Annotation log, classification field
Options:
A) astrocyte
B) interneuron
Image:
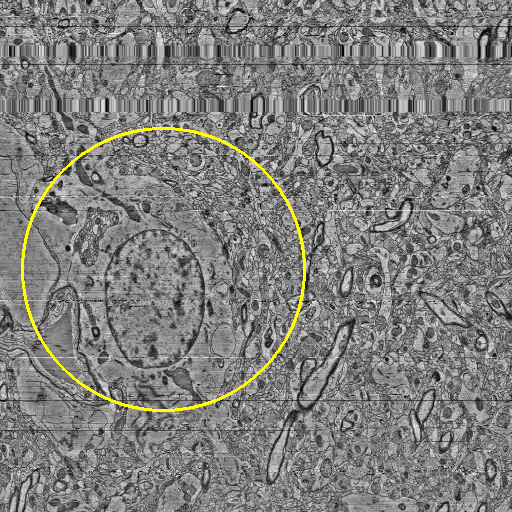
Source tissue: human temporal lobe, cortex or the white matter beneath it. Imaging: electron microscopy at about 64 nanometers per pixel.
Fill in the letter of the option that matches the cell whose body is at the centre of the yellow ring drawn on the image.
A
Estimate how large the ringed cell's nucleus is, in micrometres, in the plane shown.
In this plane, about 9 micrometres in length and 6 in width.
